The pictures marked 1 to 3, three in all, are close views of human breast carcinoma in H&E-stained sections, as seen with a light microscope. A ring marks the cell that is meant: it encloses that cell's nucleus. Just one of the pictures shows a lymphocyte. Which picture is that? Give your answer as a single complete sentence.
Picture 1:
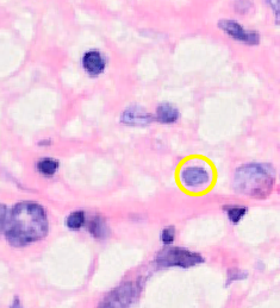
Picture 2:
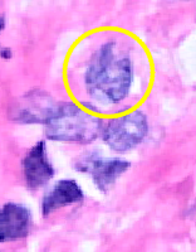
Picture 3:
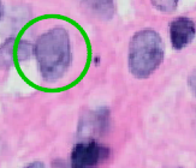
The cell in picture 1 is the lymphocyte.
